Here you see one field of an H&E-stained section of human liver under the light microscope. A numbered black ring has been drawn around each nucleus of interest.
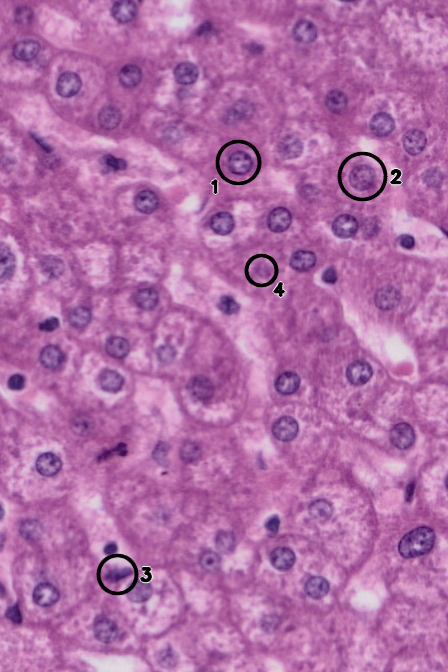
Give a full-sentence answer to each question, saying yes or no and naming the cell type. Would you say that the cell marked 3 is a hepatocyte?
No, the cell indicated by 3 is an endothelial cell instead of a hepatocyte.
